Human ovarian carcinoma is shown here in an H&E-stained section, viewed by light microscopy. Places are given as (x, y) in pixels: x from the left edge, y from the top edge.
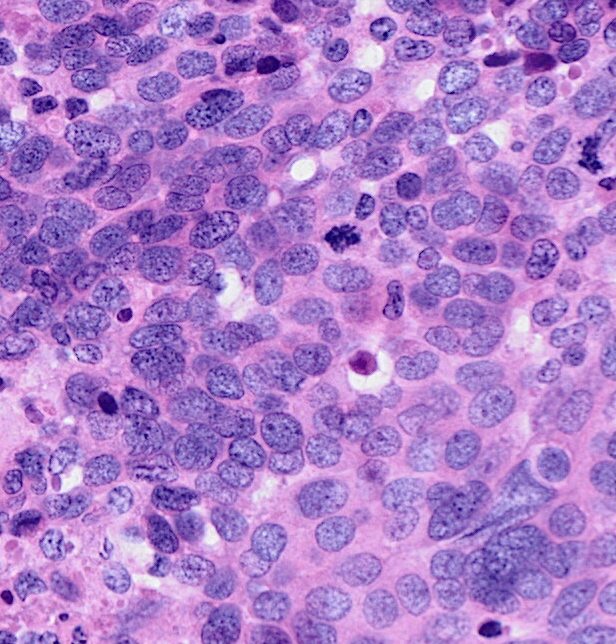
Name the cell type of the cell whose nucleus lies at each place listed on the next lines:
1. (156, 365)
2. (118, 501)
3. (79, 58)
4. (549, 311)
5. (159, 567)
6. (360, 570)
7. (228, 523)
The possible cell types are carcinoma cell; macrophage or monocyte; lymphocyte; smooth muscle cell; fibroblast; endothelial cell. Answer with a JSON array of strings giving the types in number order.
["carcinoma cell", "macrophage or monocyte", "carcinoma cell", "macrophage or monocyte", "macrophage or monocyte", "carcinoma cell", "carcinoma cell"]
